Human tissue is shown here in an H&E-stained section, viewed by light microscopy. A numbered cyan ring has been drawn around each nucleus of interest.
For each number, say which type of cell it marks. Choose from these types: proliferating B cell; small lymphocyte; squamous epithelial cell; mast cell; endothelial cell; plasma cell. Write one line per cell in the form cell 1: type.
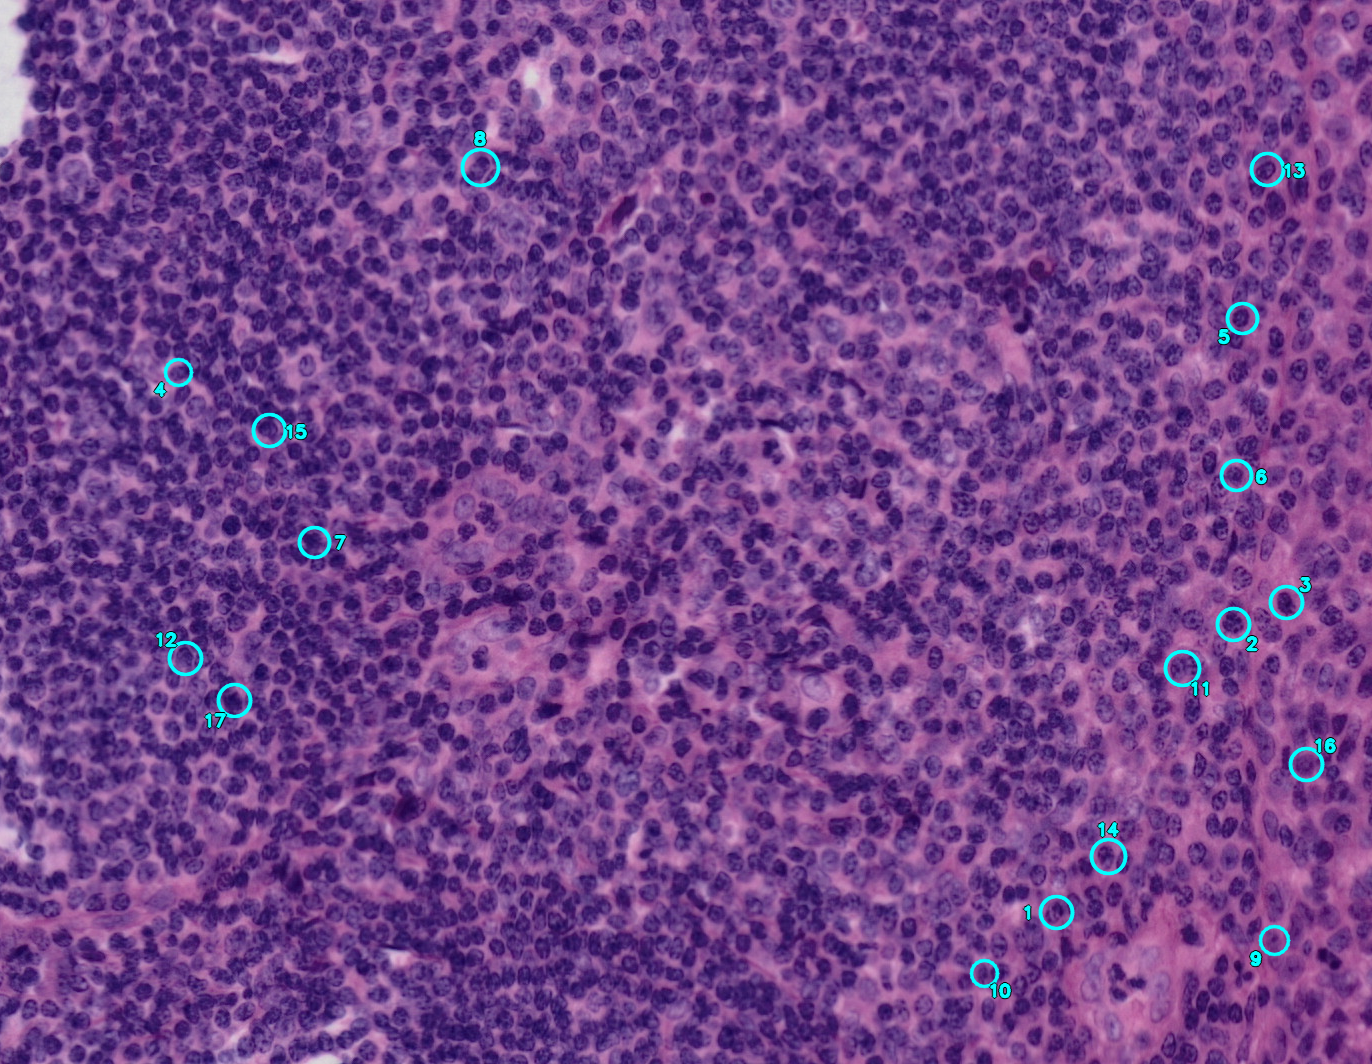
cell 1: plasma cell
cell 2: plasma cell
cell 3: plasma cell
cell 4: small lymphocyte
cell 5: plasma cell
cell 6: plasma cell
cell 7: small lymphocyte
cell 8: small lymphocyte
cell 9: squamous epithelial cell
cell 10: plasma cell
cell 11: plasma cell
cell 12: small lymphocyte
cell 13: plasma cell
cell 14: plasma cell
cell 15: small lymphocyte
cell 16: squamous epithelial cell
cell 17: small lymphocyte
